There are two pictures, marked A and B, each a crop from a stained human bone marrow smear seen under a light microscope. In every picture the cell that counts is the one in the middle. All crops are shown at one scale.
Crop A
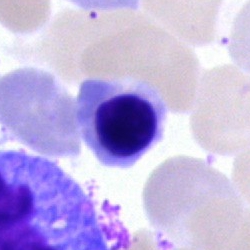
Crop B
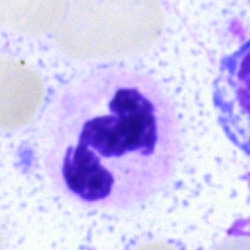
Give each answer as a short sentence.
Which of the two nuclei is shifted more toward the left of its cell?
The nucleus in crop B lies further toward the left of its cell.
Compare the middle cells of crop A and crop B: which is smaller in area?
It is the cell in crop A; the cell in crop B has about 2 times its area.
